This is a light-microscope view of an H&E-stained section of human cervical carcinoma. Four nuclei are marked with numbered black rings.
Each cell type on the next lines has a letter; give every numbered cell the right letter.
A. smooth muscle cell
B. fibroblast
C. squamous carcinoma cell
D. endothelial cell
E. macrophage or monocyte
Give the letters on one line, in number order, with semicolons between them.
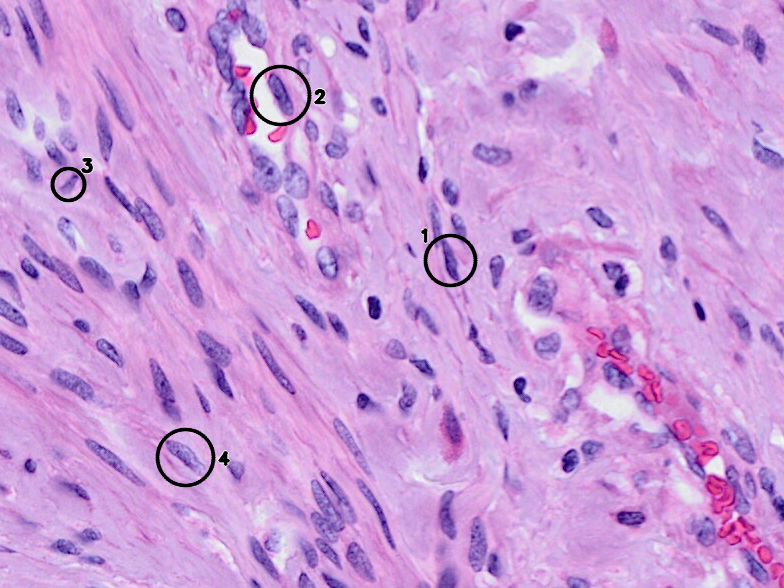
B; D; B; A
